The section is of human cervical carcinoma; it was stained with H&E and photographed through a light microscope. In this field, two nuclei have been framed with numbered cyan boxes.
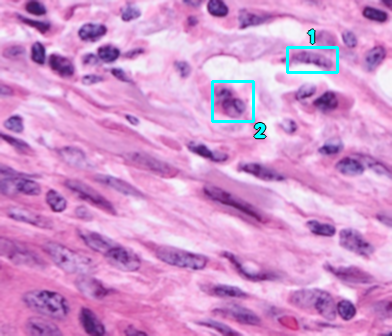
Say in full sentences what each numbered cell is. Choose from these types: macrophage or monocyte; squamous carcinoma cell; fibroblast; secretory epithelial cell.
Cell 1 is a fibroblast and cell 2 is a macrophage or monocyte.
